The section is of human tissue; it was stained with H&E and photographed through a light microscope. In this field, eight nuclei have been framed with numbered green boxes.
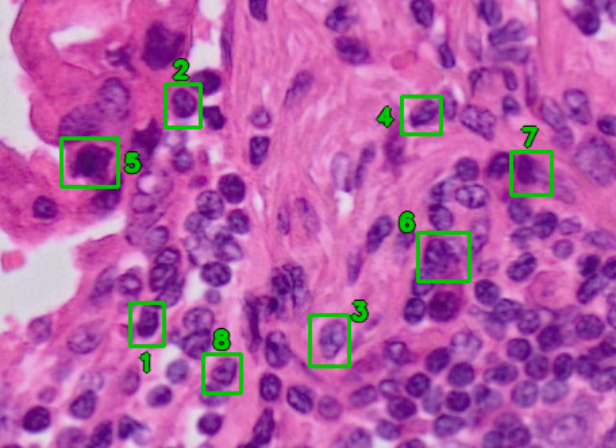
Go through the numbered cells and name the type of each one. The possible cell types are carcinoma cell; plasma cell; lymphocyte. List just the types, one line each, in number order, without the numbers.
lymphocyte
lymphocyte
lymphocyte
lymphocyte
carcinoma cell
plasma cell
plasma cell
lymphocyte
